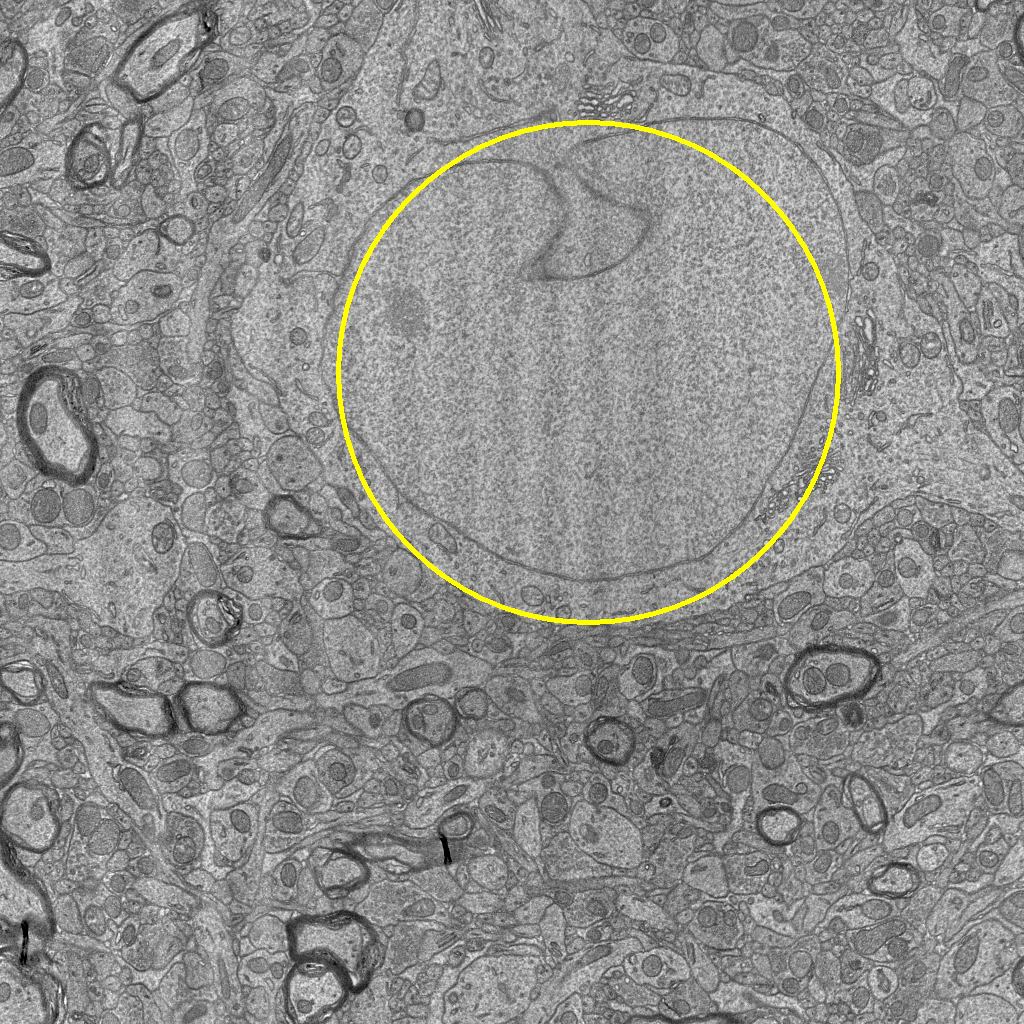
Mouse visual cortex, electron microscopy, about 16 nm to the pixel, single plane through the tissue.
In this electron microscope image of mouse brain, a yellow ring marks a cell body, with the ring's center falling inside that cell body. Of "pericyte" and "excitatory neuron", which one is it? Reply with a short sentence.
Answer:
It is an excitatory neuron at the center of the ring.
